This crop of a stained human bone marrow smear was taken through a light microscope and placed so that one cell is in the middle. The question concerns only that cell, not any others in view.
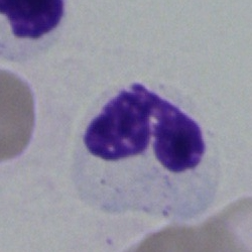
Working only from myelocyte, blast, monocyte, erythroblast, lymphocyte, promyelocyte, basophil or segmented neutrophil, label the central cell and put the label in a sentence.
For this crop, the central cell is a segmented neutrophil.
